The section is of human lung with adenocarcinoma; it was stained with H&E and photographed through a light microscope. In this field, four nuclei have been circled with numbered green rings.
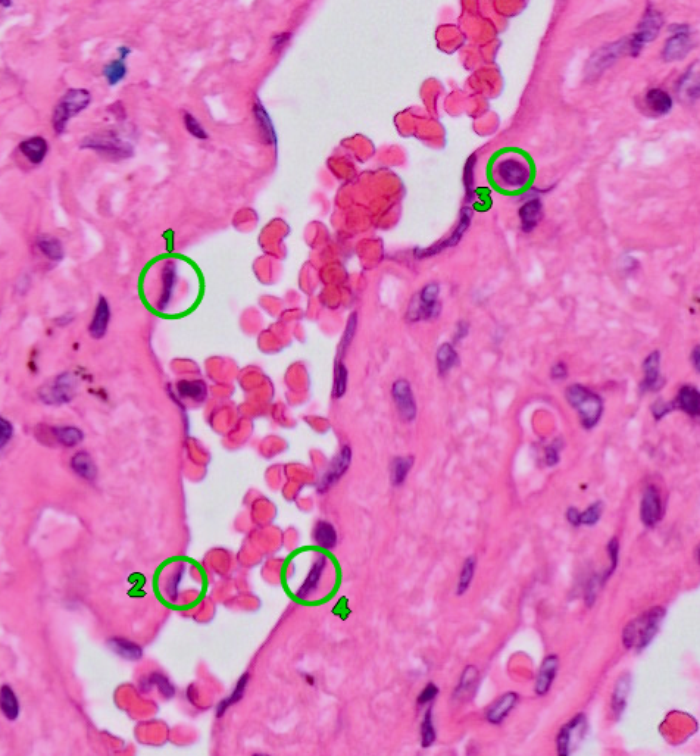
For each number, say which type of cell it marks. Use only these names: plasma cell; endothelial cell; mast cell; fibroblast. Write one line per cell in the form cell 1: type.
cell 1: endothelial cell
cell 2: endothelial cell
cell 3: plasma cell
cell 4: endothelial cell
